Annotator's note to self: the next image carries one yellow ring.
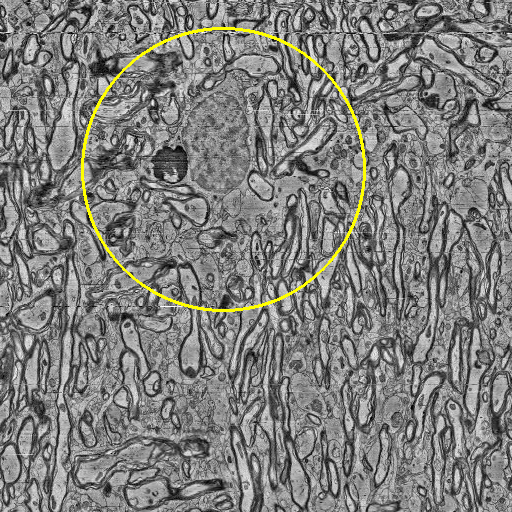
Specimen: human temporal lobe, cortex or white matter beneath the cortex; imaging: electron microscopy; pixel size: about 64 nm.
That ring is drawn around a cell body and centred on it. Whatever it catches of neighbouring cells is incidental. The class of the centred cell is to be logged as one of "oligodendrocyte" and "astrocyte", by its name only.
oligodendrocyte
